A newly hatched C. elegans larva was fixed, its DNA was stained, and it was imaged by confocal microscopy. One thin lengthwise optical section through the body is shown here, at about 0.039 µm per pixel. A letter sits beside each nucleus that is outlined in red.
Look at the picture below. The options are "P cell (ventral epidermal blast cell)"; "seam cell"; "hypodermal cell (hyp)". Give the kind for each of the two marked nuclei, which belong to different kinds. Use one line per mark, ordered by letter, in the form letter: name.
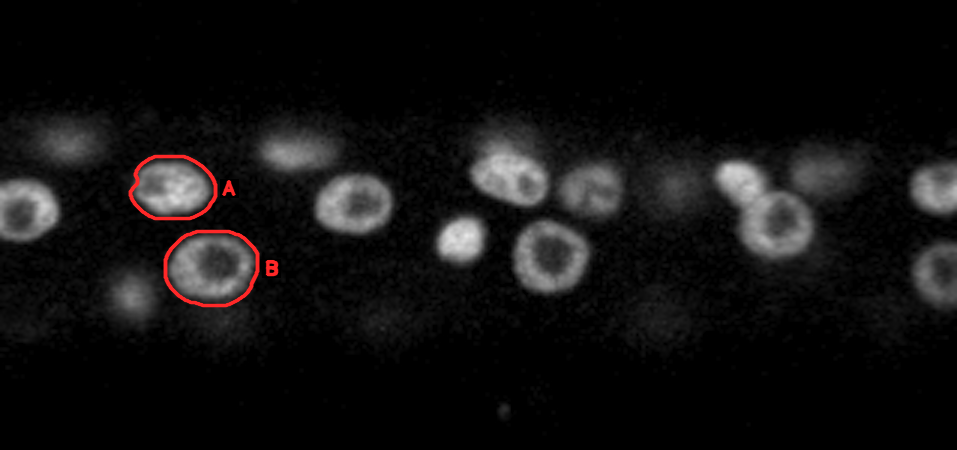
A: P cell (ventral epidermal blast cell)
B: hypodermal cell (hyp)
